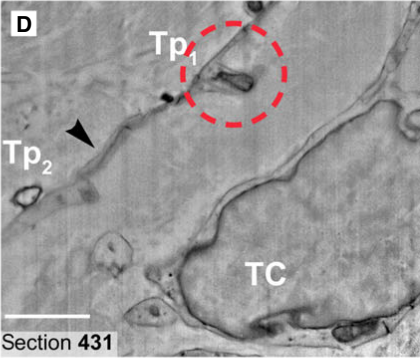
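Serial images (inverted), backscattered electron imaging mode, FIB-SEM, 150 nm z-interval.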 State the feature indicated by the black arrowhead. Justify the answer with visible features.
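Two thin cell processes lie closely apposed end to end at the arrowhead. The apposed membranes appear as a denser line where the processes meet.
Junction.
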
